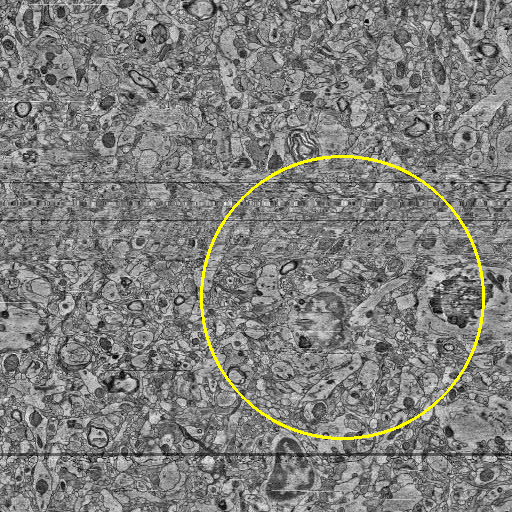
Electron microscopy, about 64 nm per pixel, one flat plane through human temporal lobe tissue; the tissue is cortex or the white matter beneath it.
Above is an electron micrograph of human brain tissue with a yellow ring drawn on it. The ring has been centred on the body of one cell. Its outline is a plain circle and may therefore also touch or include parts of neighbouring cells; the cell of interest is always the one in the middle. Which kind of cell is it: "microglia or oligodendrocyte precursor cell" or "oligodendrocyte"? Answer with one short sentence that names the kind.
The ring's central cell body is that of an oligodendrocyte.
